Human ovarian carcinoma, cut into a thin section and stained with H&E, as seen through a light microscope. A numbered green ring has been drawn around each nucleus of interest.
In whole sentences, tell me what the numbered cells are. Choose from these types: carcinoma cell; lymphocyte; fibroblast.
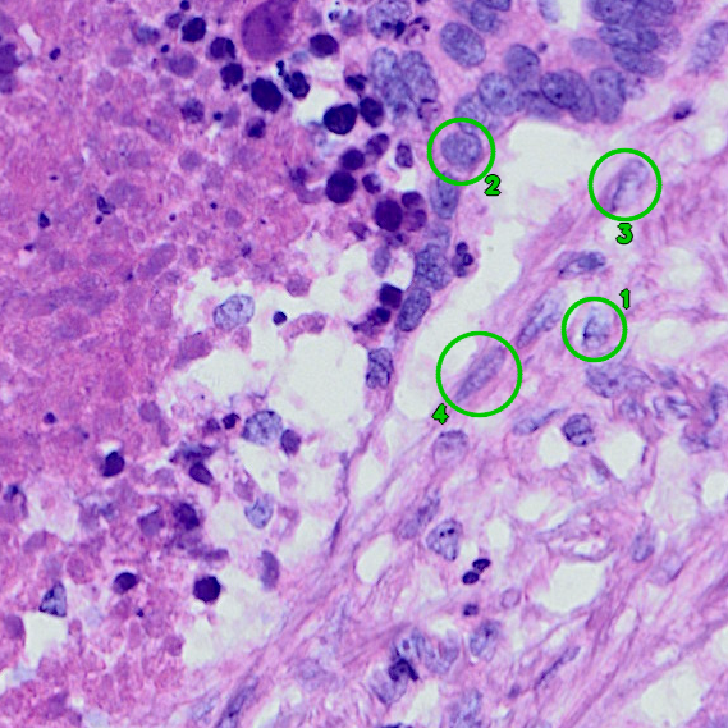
Cell 1 is a fibroblast, cell 2 is a carcinoma cell, cell 3 is a fibroblast and cell 4 is a fibroblast.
